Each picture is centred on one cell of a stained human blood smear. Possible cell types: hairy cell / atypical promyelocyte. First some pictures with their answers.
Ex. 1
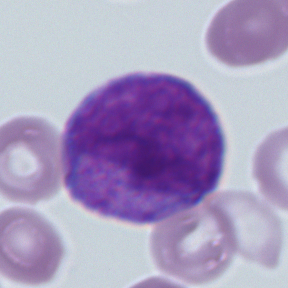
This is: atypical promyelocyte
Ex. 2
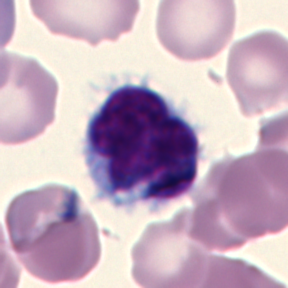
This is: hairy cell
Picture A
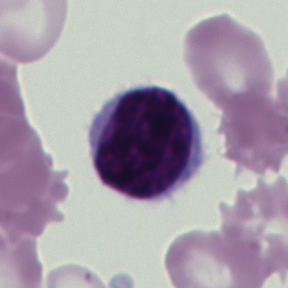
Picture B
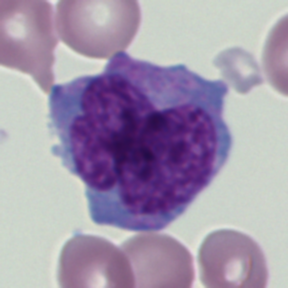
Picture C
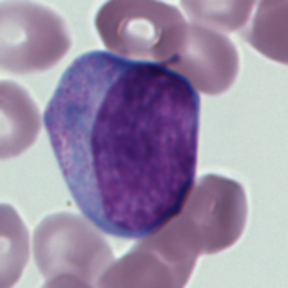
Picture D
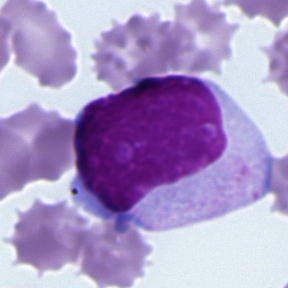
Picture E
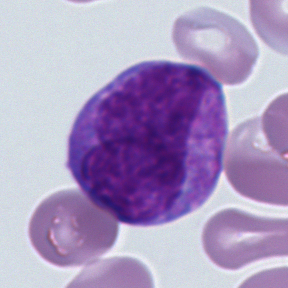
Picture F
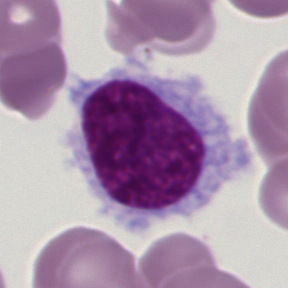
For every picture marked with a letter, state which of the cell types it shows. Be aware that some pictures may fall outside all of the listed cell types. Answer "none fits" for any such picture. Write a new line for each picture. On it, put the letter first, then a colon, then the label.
A: hairy cell
B: atypical promyelocyte
C: atypical promyelocyte
D: none fits
E: atypical promyelocyte
F: hairy cell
